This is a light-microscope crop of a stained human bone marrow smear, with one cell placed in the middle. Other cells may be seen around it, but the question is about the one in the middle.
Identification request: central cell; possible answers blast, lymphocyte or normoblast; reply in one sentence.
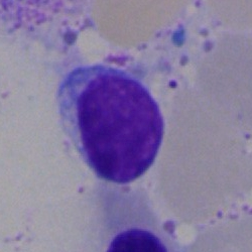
What the crop centres on is a lymphocyte.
